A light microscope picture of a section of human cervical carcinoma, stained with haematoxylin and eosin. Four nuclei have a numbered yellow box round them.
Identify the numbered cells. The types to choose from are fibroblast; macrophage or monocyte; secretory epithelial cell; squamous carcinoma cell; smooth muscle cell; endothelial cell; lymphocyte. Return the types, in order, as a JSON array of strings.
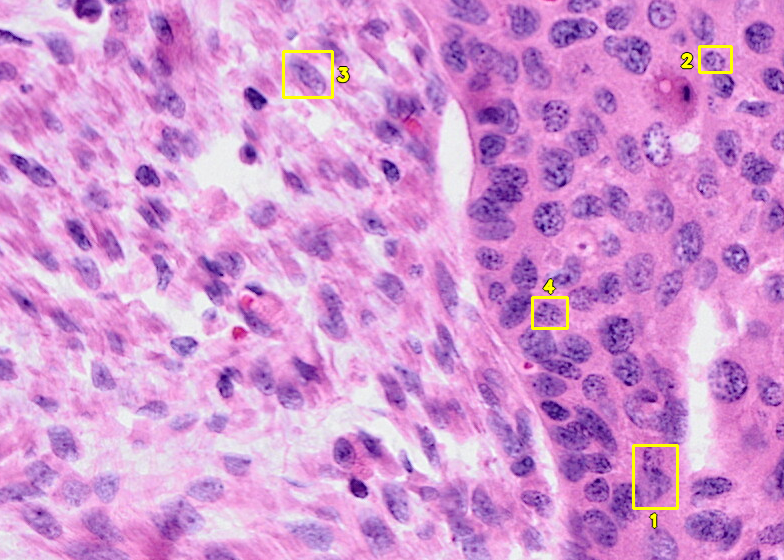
["squamous carcinoma cell", "squamous carcinoma cell", "fibroblast", "squamous carcinoma cell"]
